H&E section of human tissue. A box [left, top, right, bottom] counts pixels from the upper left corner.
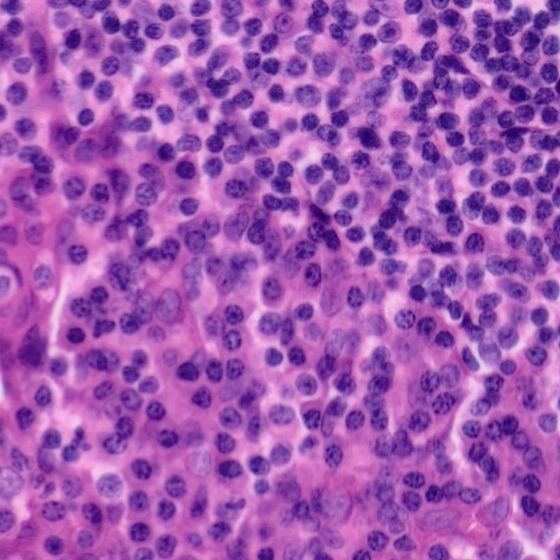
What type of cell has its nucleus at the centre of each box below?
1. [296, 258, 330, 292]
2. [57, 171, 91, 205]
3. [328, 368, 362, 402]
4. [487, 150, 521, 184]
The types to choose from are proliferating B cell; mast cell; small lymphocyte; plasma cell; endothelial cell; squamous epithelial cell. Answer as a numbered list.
1. plasma cell
2. plasma cell
3. plasma cell
4. small lymphocyte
